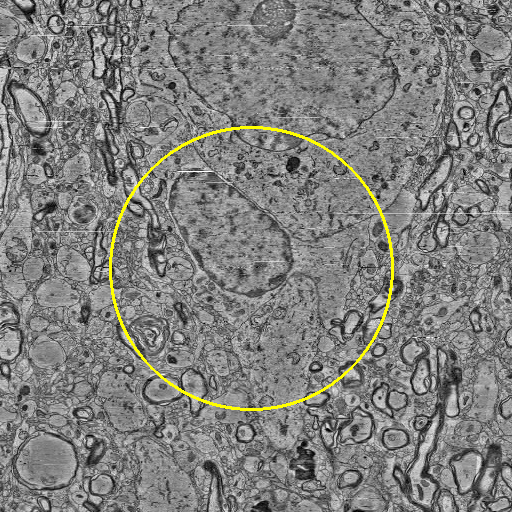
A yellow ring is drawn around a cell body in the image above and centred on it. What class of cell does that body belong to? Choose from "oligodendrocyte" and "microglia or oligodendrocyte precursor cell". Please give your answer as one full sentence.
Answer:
The yellow ring above is centred on the cell body of a microglial cell or oligodendrocyte precursor cell.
